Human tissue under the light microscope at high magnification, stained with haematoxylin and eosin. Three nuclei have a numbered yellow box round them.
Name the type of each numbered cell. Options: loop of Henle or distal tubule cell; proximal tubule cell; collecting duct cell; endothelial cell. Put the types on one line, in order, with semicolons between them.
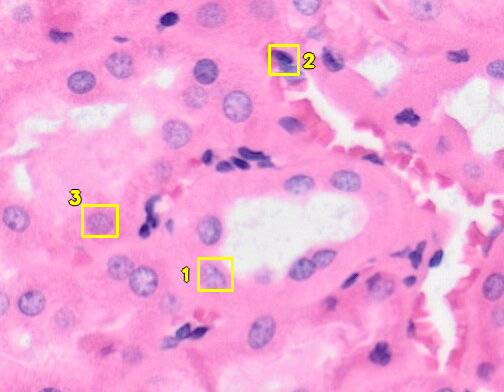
loop of Henle or distal tubule cell; endothelial cell; proximal tubule cell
